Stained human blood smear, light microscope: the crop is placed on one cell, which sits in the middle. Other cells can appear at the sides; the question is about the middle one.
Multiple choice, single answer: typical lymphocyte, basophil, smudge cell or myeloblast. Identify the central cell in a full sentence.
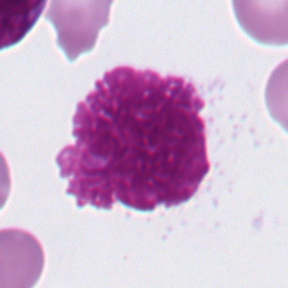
The cell positioned in the middle of the field is a smudge cell.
